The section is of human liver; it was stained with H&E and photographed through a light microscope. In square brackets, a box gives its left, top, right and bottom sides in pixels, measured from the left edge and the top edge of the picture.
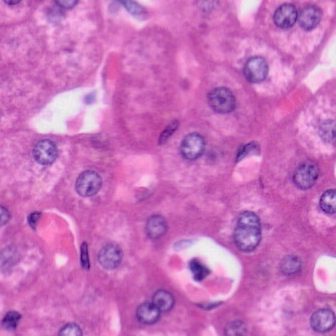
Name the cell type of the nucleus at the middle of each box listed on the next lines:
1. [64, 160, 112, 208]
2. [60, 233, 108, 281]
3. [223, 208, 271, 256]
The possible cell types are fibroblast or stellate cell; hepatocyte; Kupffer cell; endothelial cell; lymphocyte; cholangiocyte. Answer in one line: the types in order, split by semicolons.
hepatocyte; fibroblast or stellate cell; hepatocyte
